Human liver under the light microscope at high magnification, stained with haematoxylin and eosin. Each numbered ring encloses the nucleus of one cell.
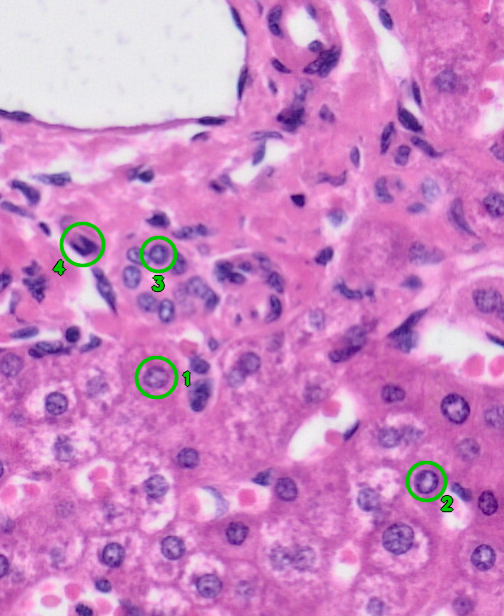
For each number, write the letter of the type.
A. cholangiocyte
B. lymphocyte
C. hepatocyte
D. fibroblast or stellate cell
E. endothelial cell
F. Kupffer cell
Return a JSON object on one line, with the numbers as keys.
{"1": "C", "2": "C", "3": "A", "4": "D"}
